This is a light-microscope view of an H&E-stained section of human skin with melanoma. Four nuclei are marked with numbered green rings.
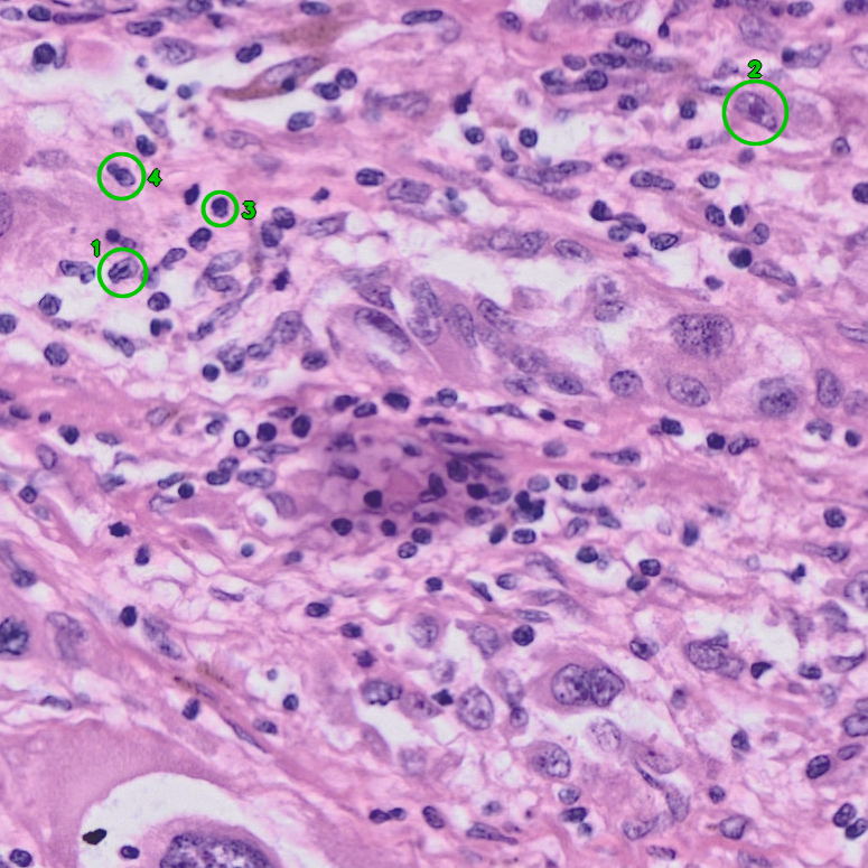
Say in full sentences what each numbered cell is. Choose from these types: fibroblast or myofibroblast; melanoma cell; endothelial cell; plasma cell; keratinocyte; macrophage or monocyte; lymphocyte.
Cells 1, 3 and 4 are lymphocytes. Cell 2 is a melanoma cell.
